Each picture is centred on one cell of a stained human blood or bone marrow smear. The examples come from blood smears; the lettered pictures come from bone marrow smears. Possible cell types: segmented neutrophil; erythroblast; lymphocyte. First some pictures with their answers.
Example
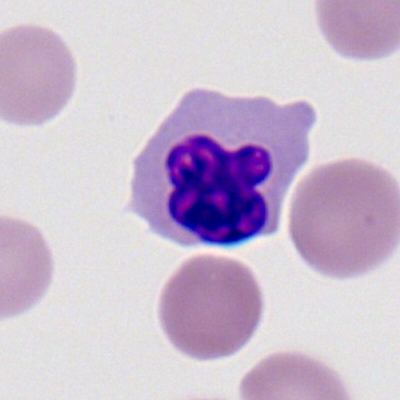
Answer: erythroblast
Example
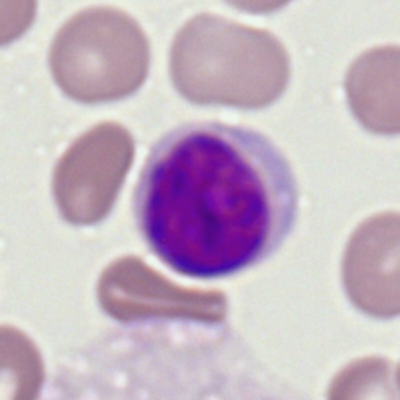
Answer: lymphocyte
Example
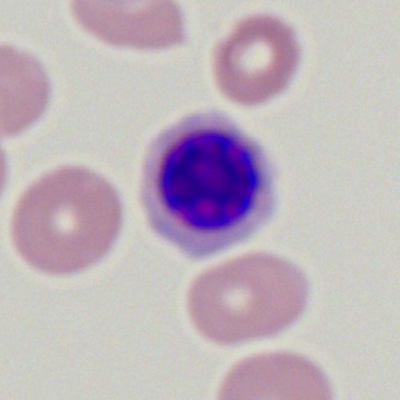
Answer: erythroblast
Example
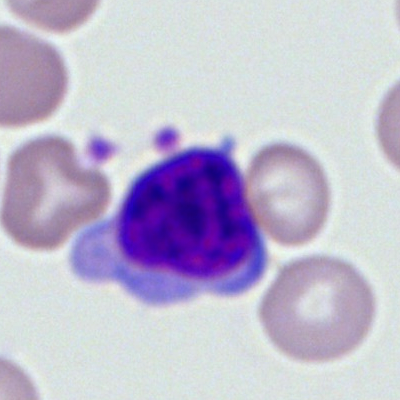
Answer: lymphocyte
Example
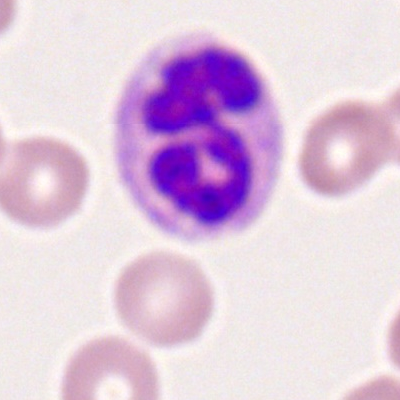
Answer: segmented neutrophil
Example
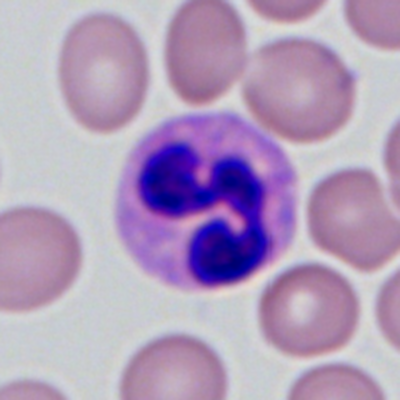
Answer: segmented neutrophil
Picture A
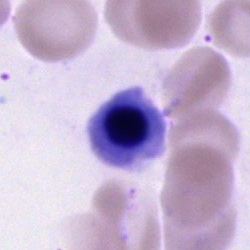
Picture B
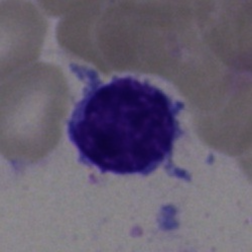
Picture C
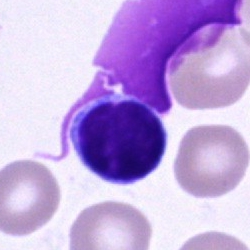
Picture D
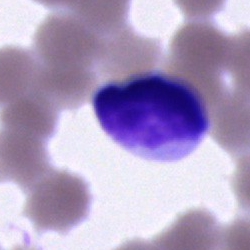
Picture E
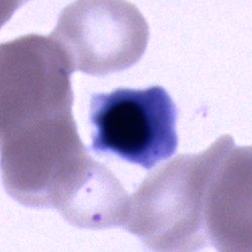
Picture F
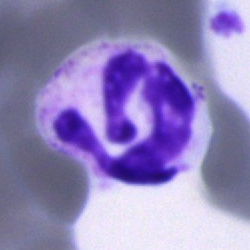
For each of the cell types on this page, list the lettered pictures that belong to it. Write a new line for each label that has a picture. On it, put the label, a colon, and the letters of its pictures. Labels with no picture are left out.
segmented neutrophil: F
erythroblast: A, E
lymphocyte: B, C, D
